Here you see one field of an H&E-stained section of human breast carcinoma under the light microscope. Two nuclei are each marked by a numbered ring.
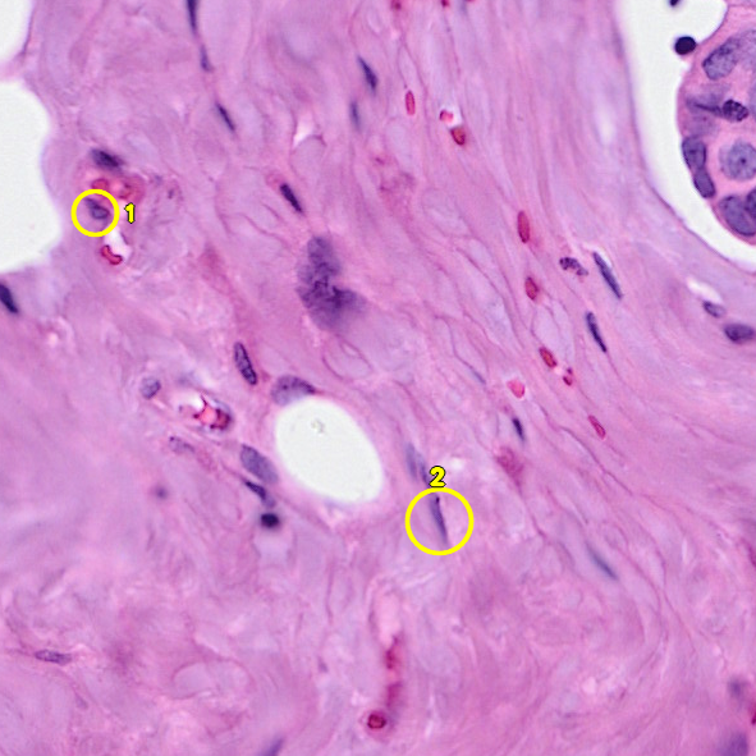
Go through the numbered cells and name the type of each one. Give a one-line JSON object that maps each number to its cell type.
{"1": "endothelial cell", "2": "fibroblast"}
